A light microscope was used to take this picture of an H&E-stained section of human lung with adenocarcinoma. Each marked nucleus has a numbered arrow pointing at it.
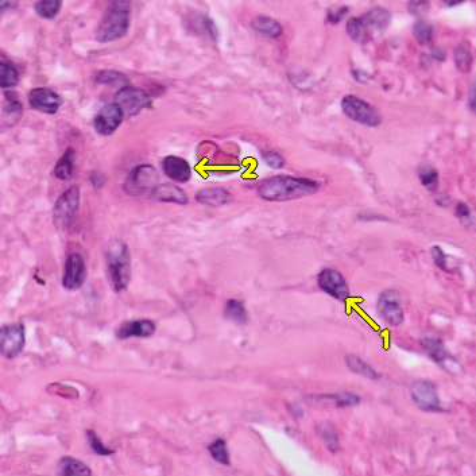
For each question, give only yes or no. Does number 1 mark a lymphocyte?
no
